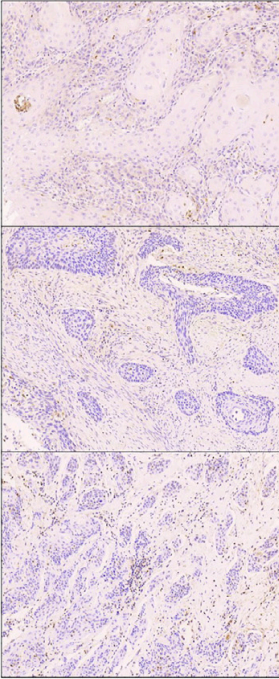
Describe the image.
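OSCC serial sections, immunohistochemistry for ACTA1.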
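One field shows broad sheets of large pale polygonal cells. Another shows smaller nests and islands of crowded cells with dark blue nuclei, set in a loose, paler stroma. A third shows many small, irregular nests and strands scattered through fibrous stroma.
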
